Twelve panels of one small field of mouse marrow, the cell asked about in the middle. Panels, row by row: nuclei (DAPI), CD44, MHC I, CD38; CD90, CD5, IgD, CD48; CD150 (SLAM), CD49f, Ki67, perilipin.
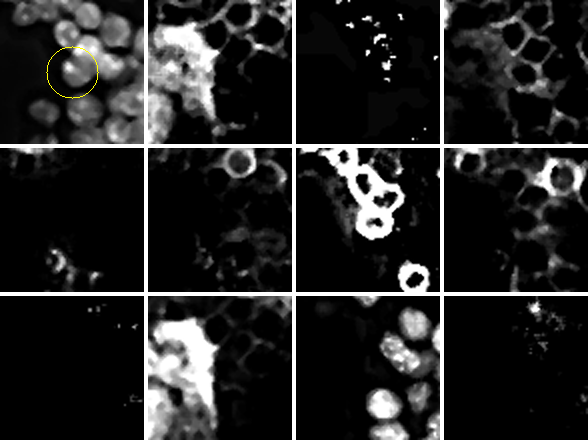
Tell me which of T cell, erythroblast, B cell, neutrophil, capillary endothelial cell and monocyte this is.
The picture shows a B cell.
